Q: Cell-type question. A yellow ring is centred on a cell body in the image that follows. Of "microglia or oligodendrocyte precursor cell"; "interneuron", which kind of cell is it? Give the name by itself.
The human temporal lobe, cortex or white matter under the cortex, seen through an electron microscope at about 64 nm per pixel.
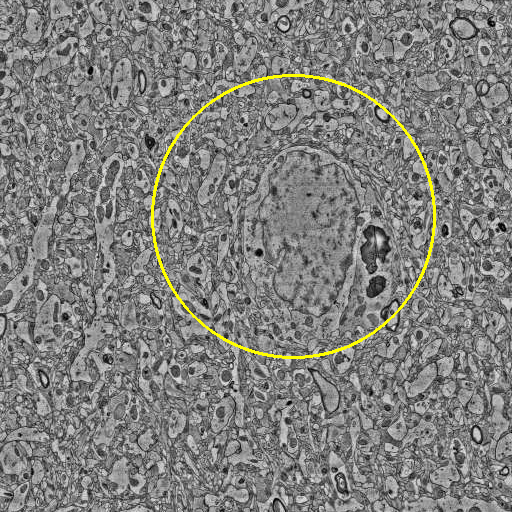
interneuron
